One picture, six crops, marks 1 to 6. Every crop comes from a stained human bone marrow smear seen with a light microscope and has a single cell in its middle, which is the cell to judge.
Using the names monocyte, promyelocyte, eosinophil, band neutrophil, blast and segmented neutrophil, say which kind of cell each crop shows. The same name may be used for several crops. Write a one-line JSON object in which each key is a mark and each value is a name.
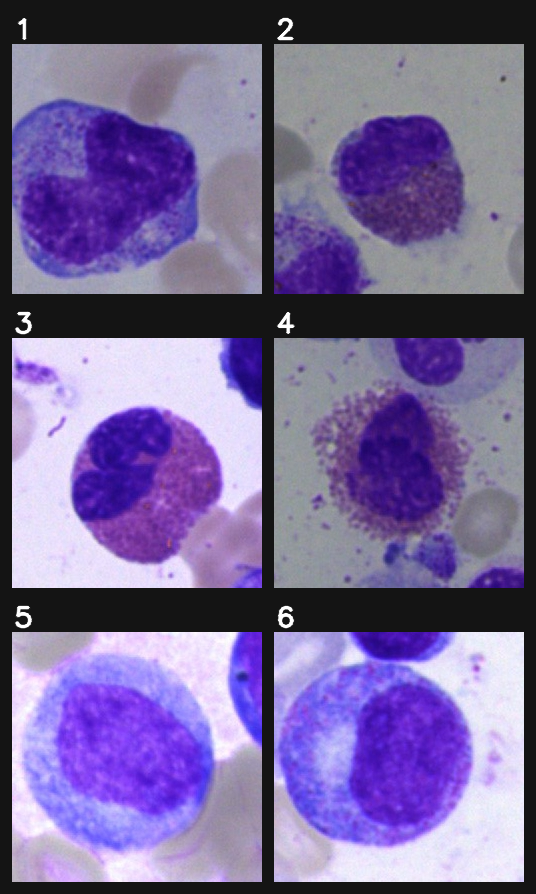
{"1": "monocyte", "2": "eosinophil", "3": "eosinophil", "4": "eosinophil", "5": "promyelocyte", "6": "promyelocyte"}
